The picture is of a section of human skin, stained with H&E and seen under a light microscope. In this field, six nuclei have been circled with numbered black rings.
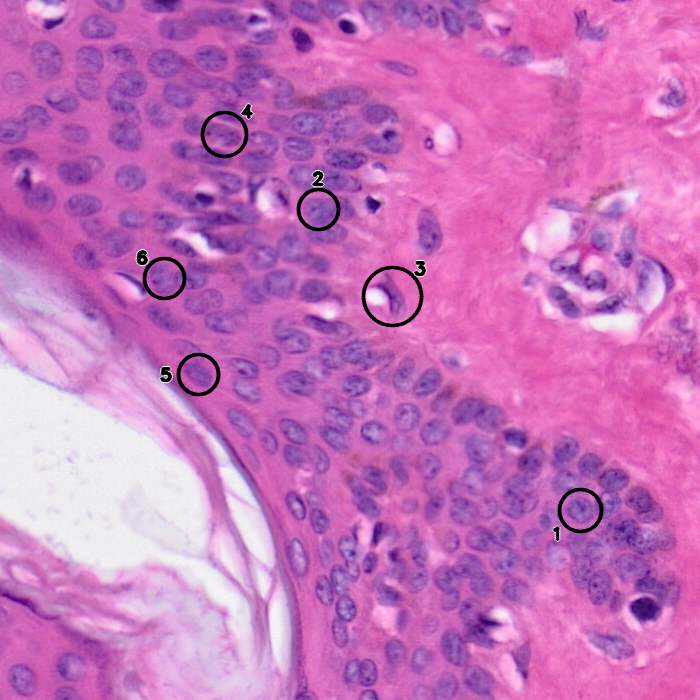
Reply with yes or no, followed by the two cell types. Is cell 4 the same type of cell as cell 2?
Yes, cells 4 and 2 are both termed basal keratinocytes.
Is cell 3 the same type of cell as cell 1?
No, unlike cell 3, which is a fibroblast, cell 1 is a suprabasal keratinocyte.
